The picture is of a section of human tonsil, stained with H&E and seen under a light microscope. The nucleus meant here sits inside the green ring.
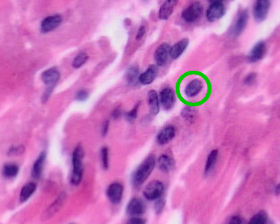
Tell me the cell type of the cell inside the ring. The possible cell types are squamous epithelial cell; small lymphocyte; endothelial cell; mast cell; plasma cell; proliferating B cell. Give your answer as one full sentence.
Cytologically, the cell inside the ring is to be regarded as a mast cell.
